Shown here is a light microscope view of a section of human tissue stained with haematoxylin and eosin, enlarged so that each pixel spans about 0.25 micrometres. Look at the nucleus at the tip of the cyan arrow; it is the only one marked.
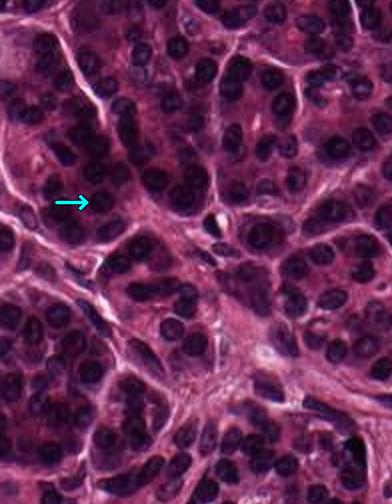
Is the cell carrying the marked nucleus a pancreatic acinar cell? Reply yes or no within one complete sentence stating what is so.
Yes, the marked nucleus sits in a pancreatic acinar cell.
